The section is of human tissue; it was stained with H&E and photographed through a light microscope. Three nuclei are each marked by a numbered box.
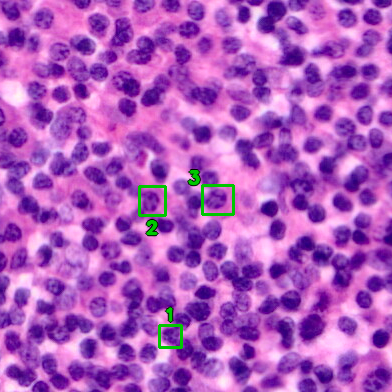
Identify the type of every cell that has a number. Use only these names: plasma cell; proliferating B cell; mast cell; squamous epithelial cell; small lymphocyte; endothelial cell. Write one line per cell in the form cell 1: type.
cell 1: small lymphocyte
cell 2: plasma cell
cell 3: plasma cell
